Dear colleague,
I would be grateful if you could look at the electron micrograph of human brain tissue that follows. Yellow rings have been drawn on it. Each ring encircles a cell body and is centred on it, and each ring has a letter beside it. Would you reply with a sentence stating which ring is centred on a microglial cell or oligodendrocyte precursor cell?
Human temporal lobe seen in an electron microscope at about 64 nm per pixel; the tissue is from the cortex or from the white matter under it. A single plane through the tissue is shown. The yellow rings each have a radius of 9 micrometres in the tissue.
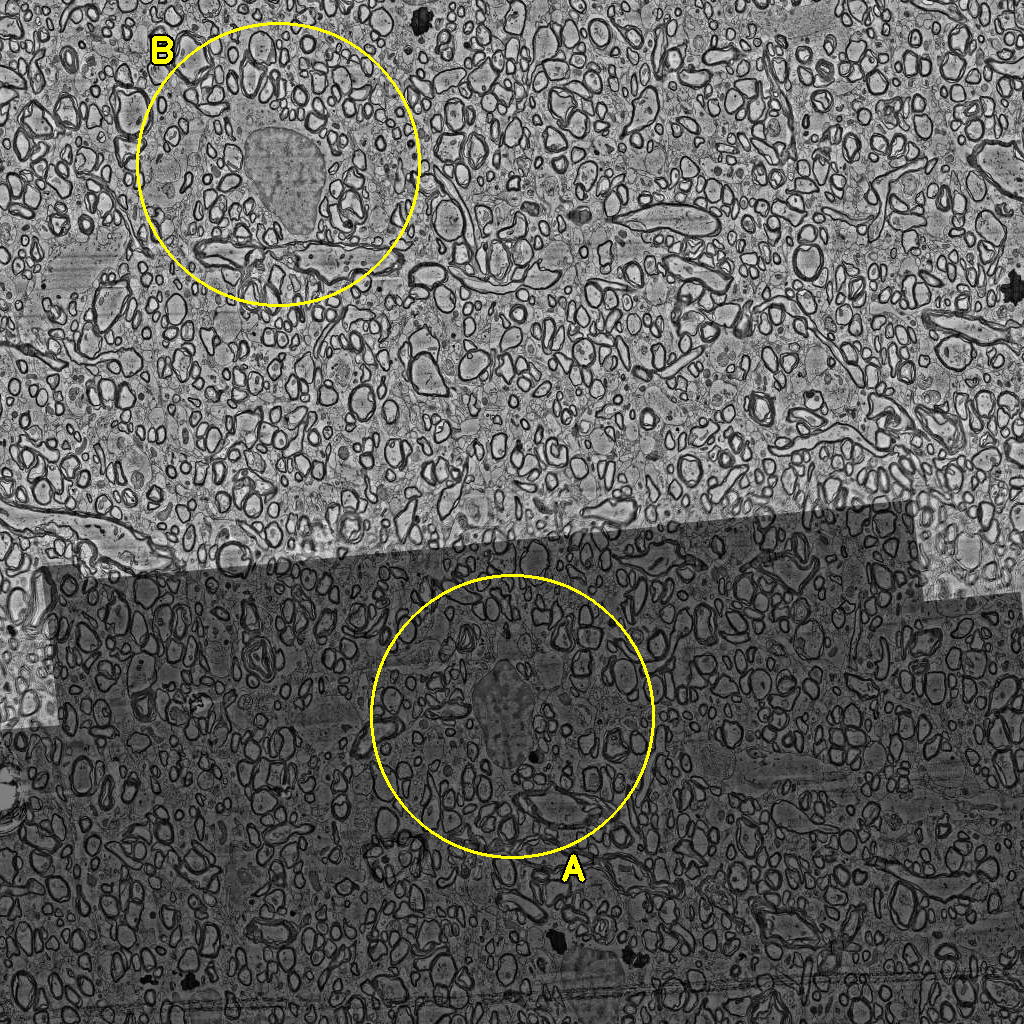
The ring centred on it is ring A.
